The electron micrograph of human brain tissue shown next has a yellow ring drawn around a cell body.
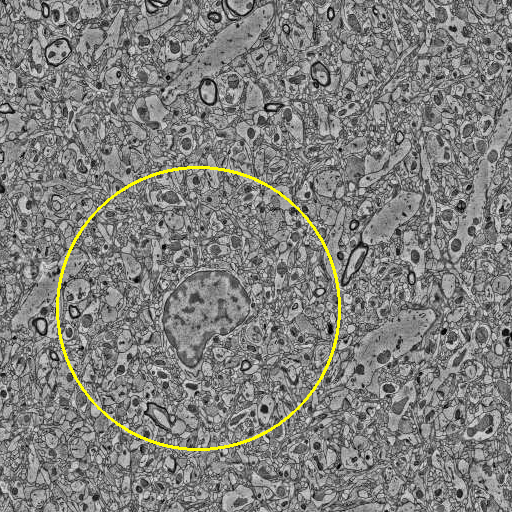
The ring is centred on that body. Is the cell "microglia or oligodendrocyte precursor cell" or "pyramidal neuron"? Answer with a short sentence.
The cell in question is a microglial cell or oligodendrocyte precursor cell.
